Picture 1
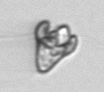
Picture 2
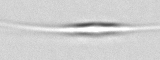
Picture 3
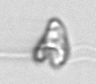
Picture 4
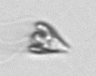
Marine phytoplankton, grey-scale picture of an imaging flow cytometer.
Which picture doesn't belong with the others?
Picture 2.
